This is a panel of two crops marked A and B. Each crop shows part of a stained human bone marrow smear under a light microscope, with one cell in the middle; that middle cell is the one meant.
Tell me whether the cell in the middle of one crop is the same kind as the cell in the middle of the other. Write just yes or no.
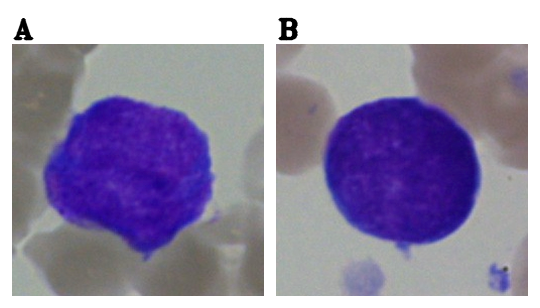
yes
